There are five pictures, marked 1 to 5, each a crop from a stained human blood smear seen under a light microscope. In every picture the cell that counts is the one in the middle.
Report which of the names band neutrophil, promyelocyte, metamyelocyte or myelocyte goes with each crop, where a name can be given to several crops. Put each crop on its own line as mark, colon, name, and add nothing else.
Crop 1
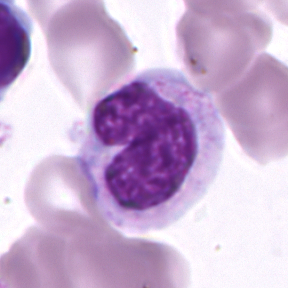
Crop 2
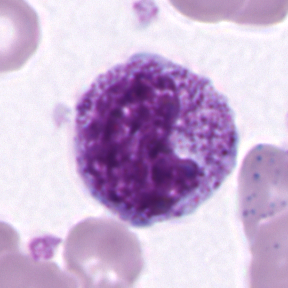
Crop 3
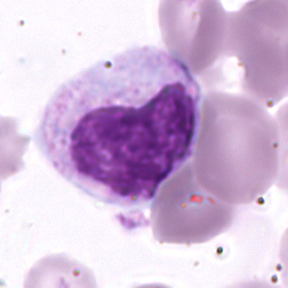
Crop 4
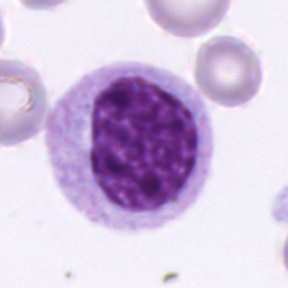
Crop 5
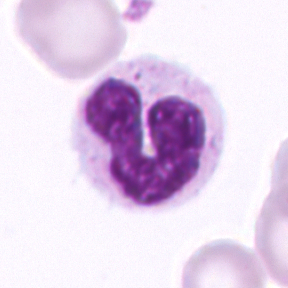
1: band neutrophil
2: metamyelocyte
3: metamyelocyte
4: myelocyte
5: band neutrophil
